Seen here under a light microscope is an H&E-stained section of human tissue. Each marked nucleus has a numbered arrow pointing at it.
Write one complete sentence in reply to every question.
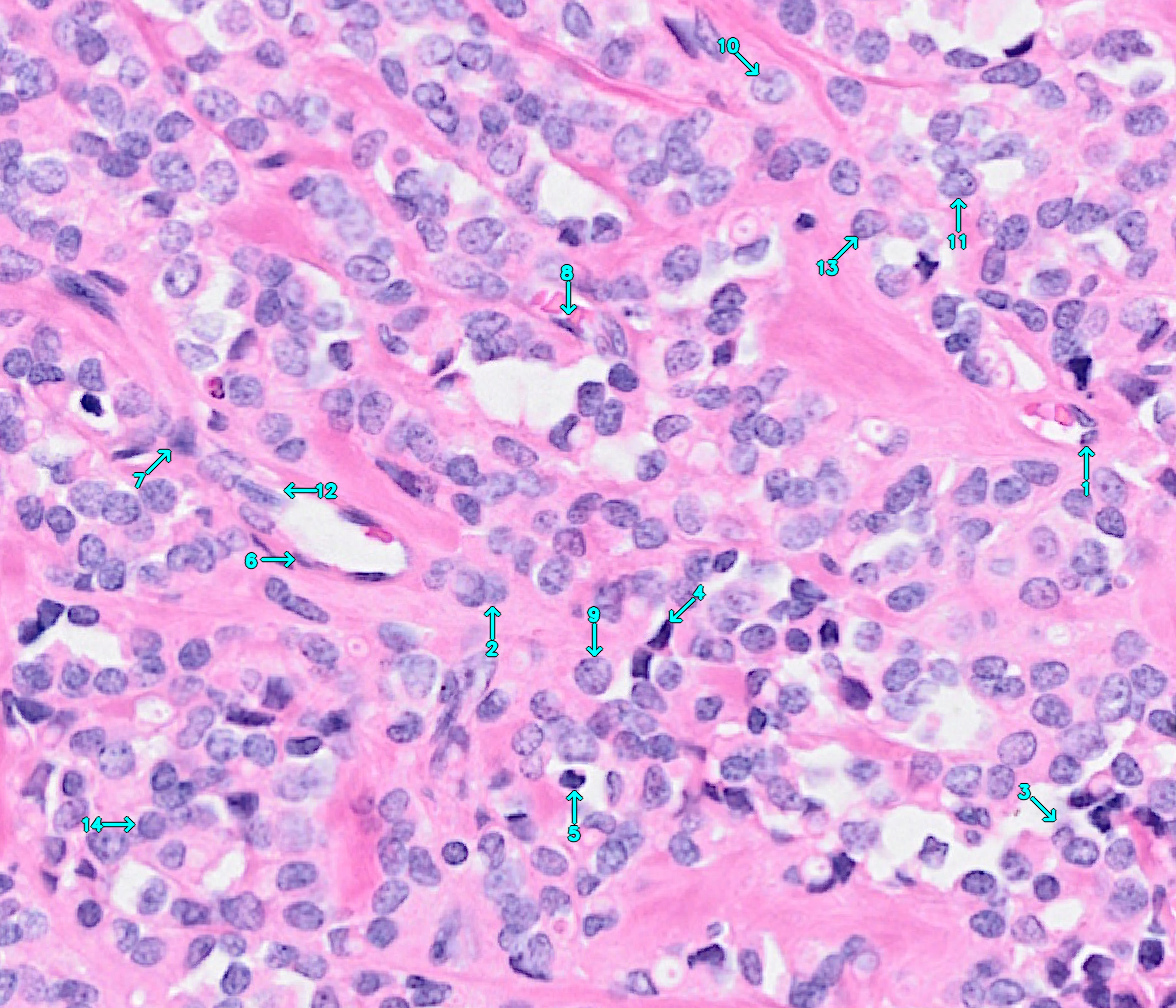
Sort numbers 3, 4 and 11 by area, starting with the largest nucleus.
Largest first, the order by area is 11, 4, 3.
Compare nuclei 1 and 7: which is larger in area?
At about 4 times the area of nucleus 1, nucleus 7 is the larger of the two.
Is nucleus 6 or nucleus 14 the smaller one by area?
Nucleus 6 covers less area, with nucleus 14 about 4 times as large.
